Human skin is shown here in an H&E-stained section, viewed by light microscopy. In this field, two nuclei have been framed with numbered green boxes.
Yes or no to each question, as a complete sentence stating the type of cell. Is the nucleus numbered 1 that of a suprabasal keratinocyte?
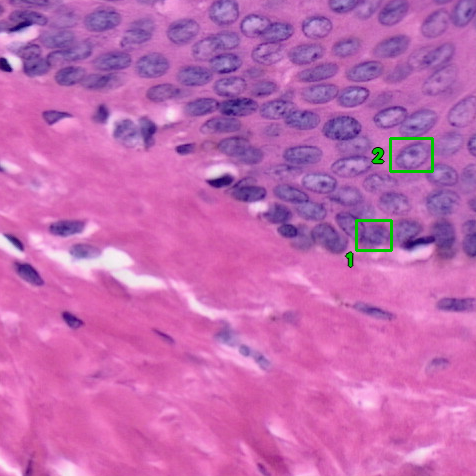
No, cell 1 represents a basal keratinocyte rather than a suprabasal keratinocyte.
